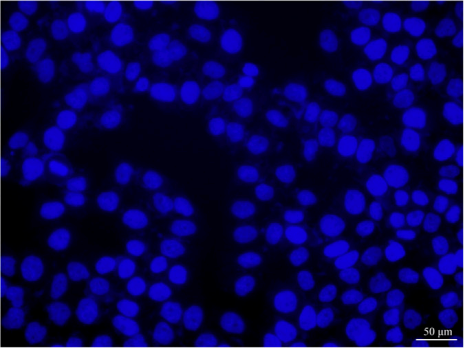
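The nuclei are numerous and densely packed, covering most of the field with only a few open gaps. They are oval to round and fairly similar in size. Their blue staining is even and moderate, with smooth outlines. No small, shrunken or unusually bright nuclei stand out among them.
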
